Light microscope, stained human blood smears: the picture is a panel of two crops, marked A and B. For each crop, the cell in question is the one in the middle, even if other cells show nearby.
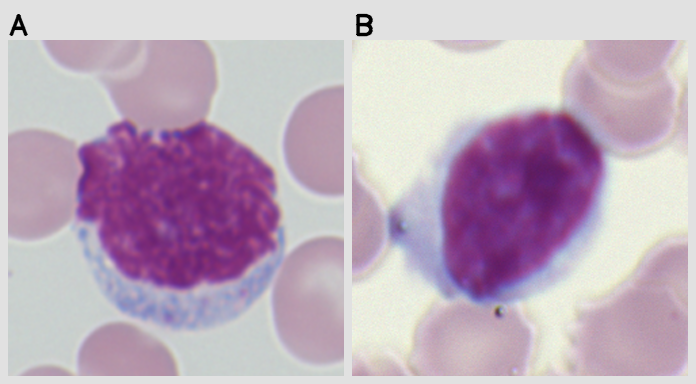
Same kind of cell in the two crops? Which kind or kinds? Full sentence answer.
Yes, put down typical lymphocytes for both crops.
